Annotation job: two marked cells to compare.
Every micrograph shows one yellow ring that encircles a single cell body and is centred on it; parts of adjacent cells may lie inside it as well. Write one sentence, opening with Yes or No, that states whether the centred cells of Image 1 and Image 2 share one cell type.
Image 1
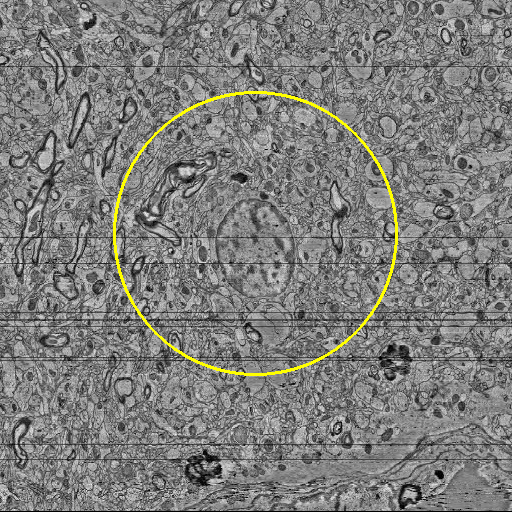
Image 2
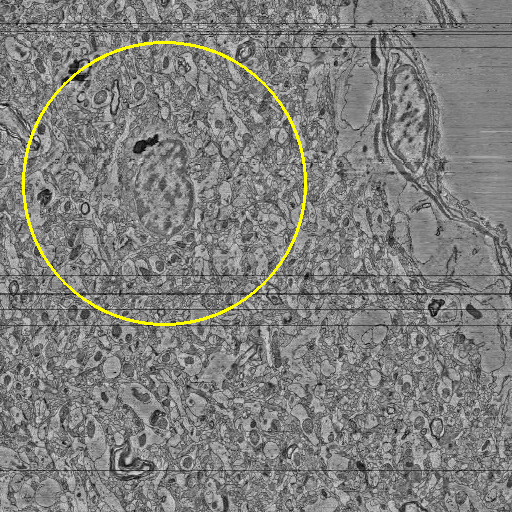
Yes, the cell centred in Image 1 shares its type with the cell centred in Image 2.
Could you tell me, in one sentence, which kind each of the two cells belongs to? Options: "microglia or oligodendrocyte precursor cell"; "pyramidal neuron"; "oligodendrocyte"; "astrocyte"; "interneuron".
Both the first and the second picture show an oligodendrocyte in the ring.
